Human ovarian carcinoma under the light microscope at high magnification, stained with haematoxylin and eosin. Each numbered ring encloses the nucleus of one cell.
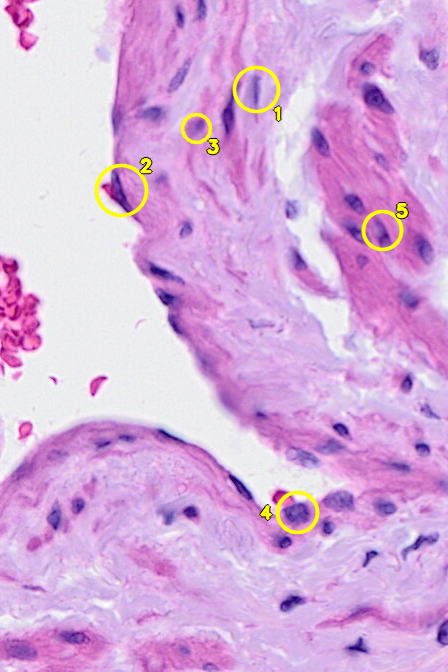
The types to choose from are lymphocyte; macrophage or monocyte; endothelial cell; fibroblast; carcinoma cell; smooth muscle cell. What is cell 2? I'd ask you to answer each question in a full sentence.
The cell given label 2 is an endothelial cell.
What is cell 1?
Regarding cell 1, this one is a fibroblast.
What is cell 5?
The cell numbered 5 represents a smooth muscle cell.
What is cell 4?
In this section, the cell tagged 4 is an endothelial cell.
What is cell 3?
In this section, number 3 marks a smooth muscle cell.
